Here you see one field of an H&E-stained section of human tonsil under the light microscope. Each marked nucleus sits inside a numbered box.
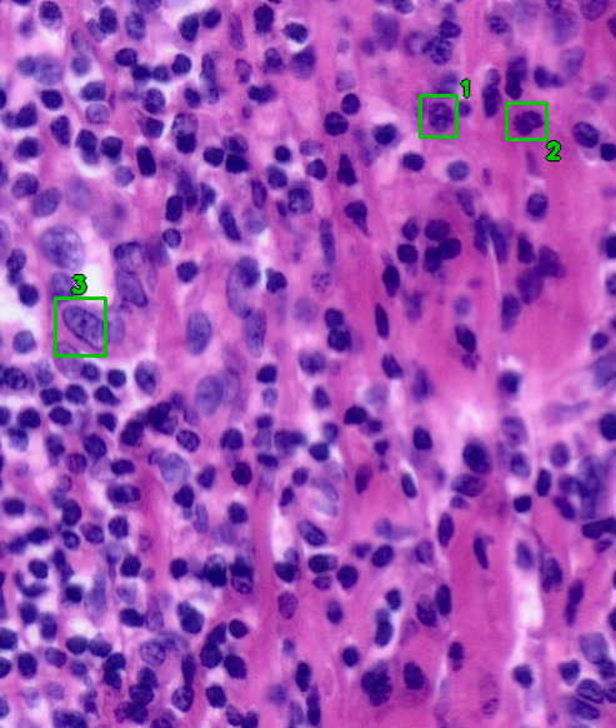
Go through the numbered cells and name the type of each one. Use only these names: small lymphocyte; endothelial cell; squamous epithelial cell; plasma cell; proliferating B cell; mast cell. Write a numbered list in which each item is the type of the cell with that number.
1. plasma cell
2. plasma cell
3. endothelial cell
